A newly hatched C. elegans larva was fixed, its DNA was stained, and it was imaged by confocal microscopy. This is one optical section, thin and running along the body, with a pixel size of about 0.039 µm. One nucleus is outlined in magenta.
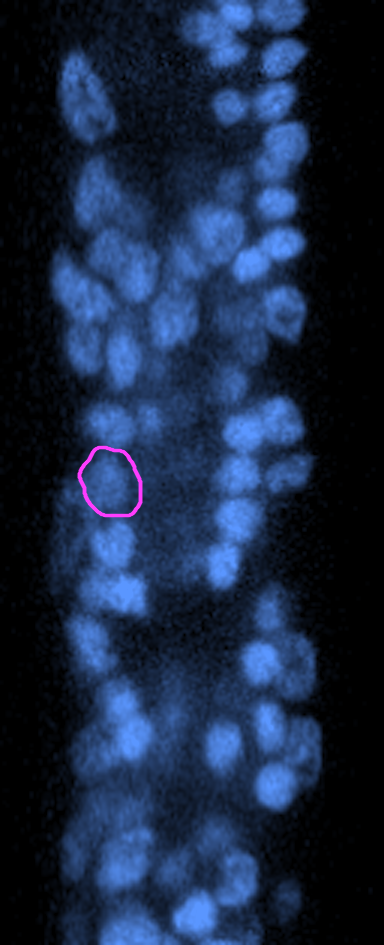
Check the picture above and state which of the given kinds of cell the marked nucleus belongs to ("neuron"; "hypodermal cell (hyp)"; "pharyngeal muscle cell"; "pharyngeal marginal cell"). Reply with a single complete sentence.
What is marked is the nucleus of a neuron.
